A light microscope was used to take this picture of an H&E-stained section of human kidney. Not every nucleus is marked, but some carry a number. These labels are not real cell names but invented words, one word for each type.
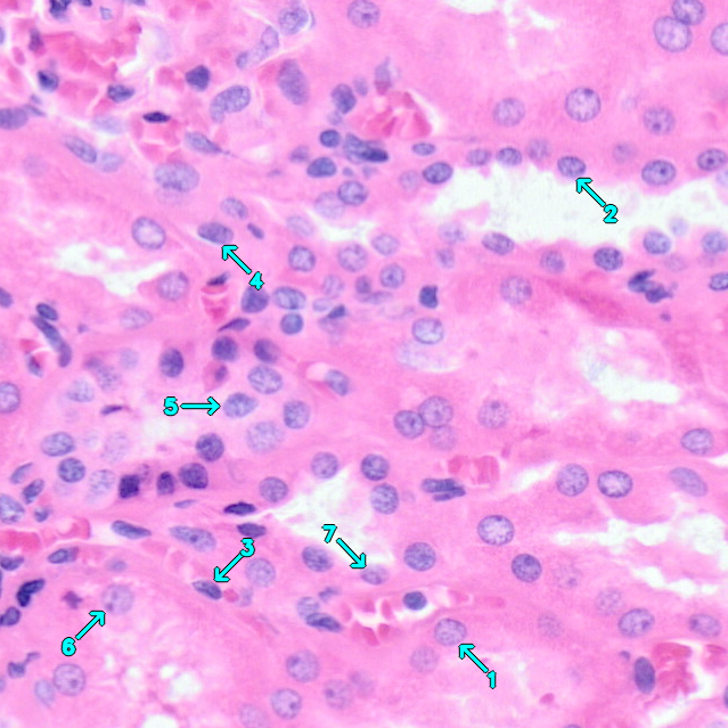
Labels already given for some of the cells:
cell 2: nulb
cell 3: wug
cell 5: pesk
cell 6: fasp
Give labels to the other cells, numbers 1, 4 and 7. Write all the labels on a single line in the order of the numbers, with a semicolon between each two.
fasp; wug; nulb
